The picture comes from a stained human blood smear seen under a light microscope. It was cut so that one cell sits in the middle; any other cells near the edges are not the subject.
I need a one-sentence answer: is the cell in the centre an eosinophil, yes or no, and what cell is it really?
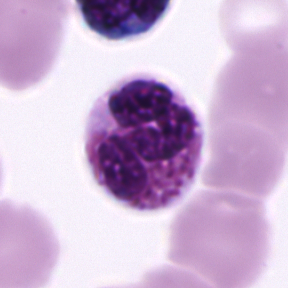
Yes, placed in the middle of the crop is an eosinophil.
